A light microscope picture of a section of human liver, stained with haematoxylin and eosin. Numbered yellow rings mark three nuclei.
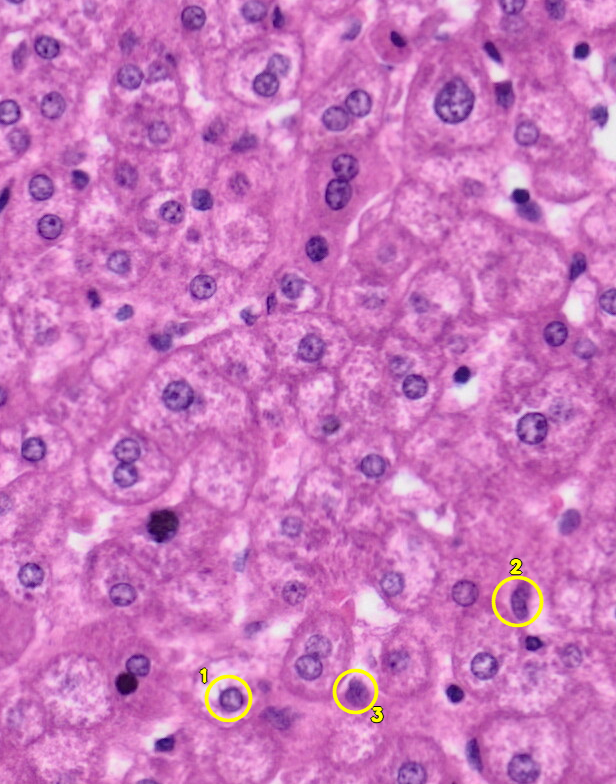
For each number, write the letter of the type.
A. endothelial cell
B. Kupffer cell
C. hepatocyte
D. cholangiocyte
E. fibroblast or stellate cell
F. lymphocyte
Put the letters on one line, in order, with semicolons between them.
C; B; B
